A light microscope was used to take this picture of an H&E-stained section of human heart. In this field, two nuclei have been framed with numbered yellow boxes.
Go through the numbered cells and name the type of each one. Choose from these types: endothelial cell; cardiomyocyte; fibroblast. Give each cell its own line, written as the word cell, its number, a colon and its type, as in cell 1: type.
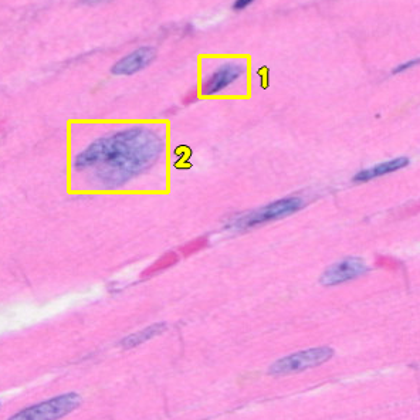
cell 1: endothelial cell
cell 2: cardiomyocyte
